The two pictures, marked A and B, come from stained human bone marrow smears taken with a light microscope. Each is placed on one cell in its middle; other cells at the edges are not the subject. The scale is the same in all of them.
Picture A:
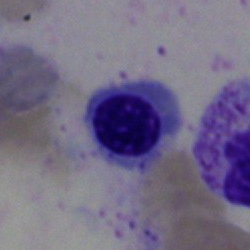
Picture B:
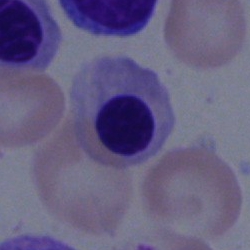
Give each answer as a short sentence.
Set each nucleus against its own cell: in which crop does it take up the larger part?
In picture A the nucleus takes up the larger part of its cell.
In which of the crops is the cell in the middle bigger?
Larger is the cell in picture B, at roughly 1.5 times the area of the other.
